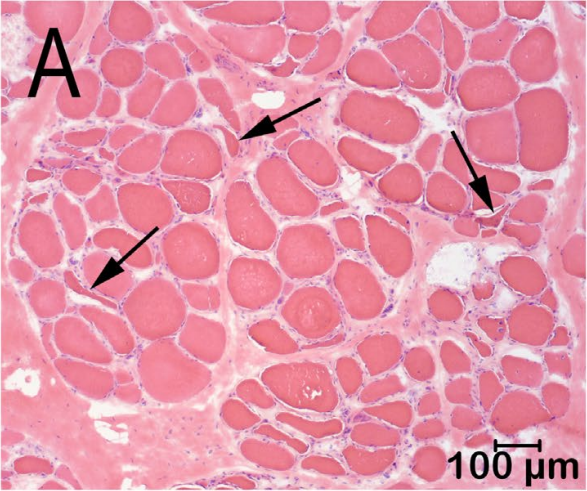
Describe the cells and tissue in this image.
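This cross-section of skeletal muscle shows pink-stained myofibers in rounded to polygonal profiles that vary markedly in size. Scattered small fibers with angular outlines lie squeezed between much larger rounded fibers. Small purple nuclei sit at the edges of the fibers and in the spaces between them. The spaces between fibers are uneven and widened in places.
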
